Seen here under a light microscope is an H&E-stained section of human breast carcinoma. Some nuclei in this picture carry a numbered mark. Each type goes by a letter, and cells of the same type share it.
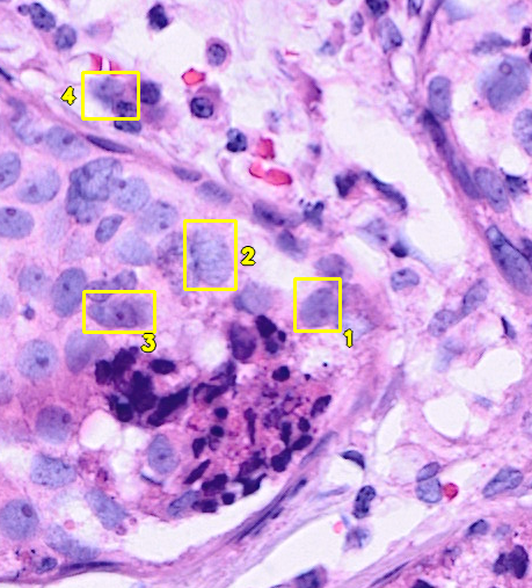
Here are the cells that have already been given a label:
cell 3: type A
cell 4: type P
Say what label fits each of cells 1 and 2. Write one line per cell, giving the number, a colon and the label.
1: type A
2: type A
